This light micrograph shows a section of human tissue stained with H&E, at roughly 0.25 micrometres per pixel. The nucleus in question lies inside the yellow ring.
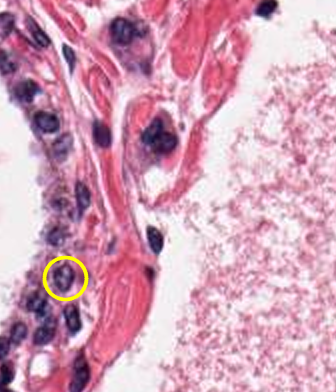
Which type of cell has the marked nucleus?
thyroid follicular cell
